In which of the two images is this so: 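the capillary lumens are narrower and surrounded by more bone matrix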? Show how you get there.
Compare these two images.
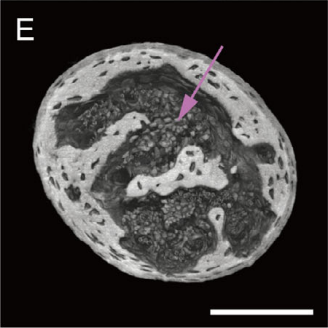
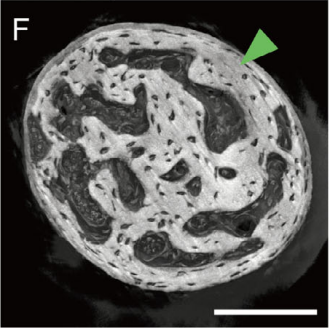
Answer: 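The second image. Second image: many narrow dark channels separated by broad bright matrix. First image: a few wide dark channels occupy most of the section, with thinner bright matrix between them.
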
